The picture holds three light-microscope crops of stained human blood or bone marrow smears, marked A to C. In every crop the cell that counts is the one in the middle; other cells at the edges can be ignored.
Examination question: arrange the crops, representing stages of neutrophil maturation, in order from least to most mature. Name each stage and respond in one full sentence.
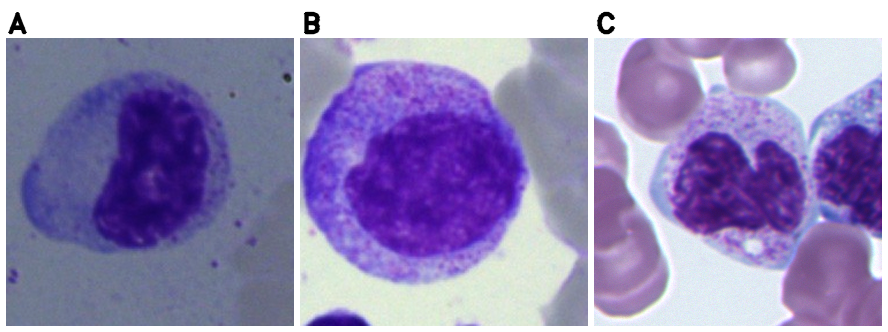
From the earliest stage to the most mature one, the order is crop B (a promyelocyte), crop A (a metamyelocyte) and crop C (a band neutrophil).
